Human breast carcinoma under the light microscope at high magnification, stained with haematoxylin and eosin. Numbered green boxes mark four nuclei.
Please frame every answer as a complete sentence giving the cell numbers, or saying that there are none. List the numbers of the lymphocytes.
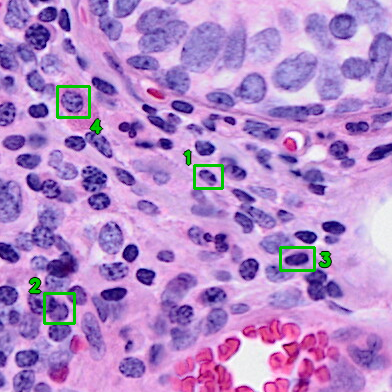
In short, the numbered cells 1, 2 and 3 are lymphocytes.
